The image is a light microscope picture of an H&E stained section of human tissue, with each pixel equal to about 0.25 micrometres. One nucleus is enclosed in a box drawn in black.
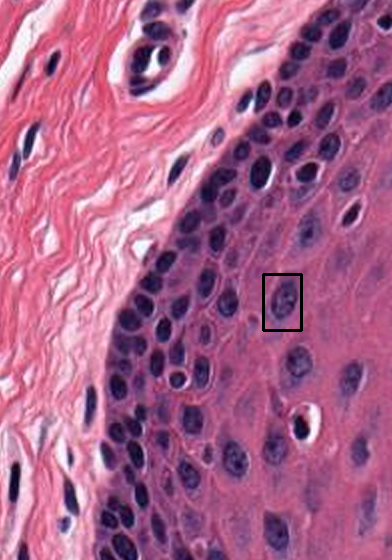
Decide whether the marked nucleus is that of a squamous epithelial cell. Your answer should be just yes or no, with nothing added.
yes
